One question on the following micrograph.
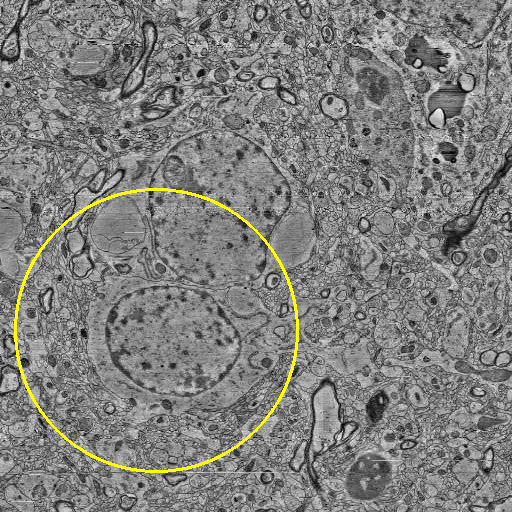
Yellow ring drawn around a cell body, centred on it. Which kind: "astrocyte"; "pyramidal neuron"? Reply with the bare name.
astrocyte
